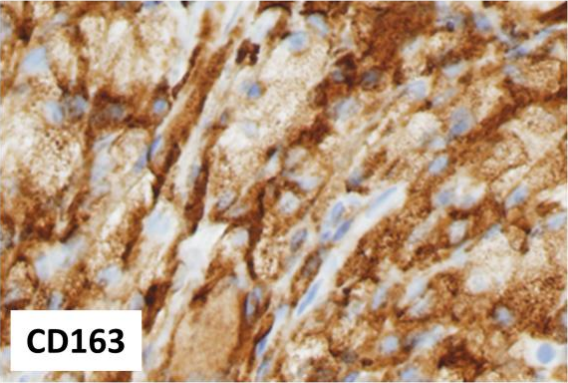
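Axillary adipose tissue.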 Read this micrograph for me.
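Here the foamy histiocytes are outlined by intense brown staining filling their broad cytoplasm, while their small oval nuclei stay blue. The stained cytoplasm has a granular, vacuolated texture, and the cells are large and crowded into sheets, with some streaming in elongated, spindled bands across the middle of the field.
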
